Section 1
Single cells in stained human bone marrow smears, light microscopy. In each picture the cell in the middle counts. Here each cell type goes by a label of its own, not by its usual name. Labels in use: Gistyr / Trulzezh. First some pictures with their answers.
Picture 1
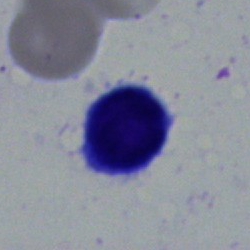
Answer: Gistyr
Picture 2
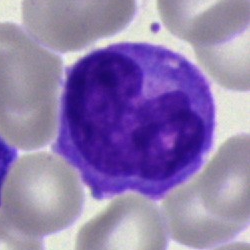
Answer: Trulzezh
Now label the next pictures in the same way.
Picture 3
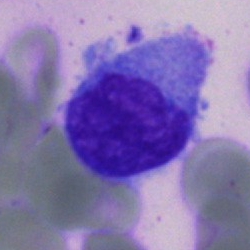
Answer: Trulzezh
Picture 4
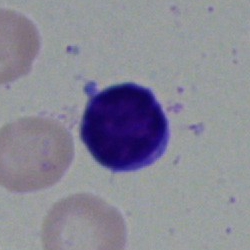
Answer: Gistyr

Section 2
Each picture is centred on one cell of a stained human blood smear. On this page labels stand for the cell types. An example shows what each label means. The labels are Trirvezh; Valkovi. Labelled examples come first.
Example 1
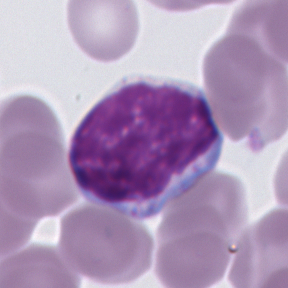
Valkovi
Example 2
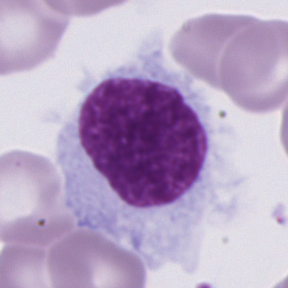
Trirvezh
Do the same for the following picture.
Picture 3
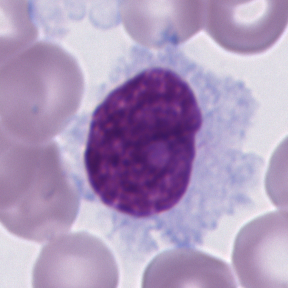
Trirvezh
